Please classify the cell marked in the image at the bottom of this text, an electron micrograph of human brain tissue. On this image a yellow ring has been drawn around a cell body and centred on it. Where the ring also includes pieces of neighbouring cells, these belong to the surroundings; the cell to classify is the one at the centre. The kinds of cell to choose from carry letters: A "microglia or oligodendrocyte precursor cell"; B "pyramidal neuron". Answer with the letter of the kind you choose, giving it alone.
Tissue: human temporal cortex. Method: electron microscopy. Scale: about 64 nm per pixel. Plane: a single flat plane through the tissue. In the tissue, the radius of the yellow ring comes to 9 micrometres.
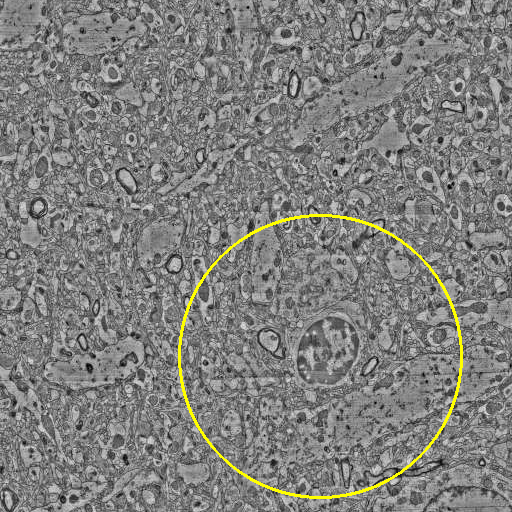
A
